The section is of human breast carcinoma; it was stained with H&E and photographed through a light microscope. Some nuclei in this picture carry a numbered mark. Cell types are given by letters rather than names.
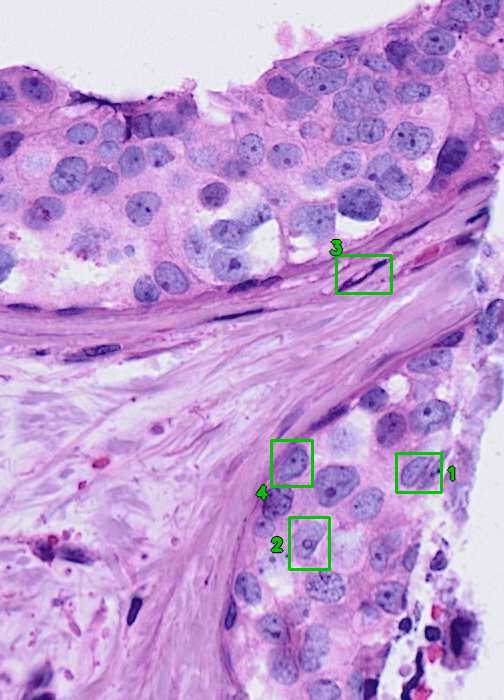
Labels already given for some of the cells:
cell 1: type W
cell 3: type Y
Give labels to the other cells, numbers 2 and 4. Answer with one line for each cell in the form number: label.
2: type W
4: type W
